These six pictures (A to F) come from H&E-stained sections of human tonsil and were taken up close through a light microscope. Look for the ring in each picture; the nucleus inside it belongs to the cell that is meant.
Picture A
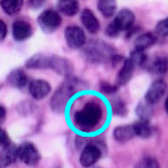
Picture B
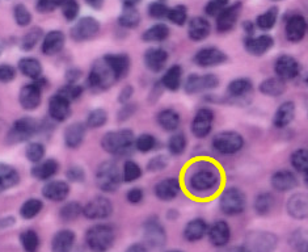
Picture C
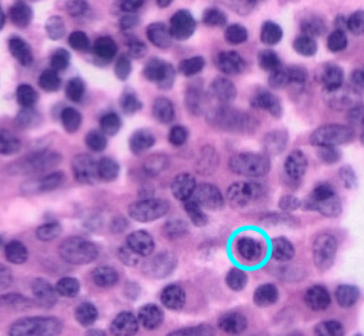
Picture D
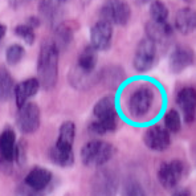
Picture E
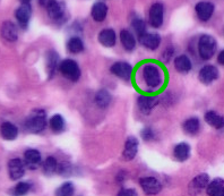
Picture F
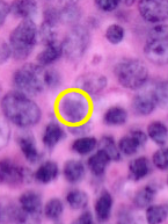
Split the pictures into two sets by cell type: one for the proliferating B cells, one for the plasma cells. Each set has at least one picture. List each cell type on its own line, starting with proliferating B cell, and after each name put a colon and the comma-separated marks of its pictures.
proliferating B cell: A, F
plasma cell: B, C, D, E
